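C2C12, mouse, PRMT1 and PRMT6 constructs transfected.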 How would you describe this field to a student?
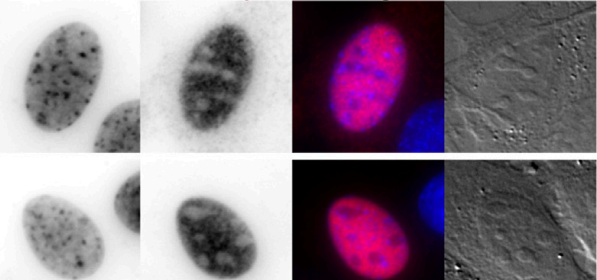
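Oval nuclei of cultured myoblasts are shown, each with many small dense heterochromatin clusters scattered through an otherwise evenly stained nucleoplasm. The red stain fills the nucleus while sparing darker patches, and in the merge the nucleus appears magenta against neighbouring nuclei that are blue only. The interference contrast images show flat cells with a granular cytoplasm around the nucleus.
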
